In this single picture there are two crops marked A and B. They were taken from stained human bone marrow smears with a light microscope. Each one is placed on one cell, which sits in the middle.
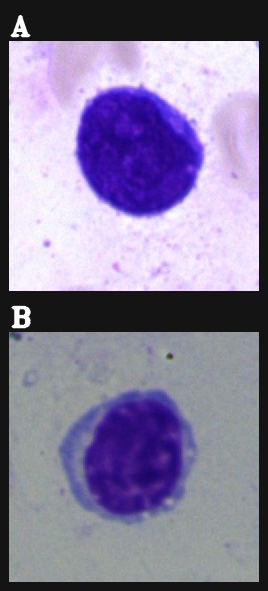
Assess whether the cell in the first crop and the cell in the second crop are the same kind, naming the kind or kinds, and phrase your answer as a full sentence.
No, a blast and a lymphocyte are found in crop A and crop B, respectively.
